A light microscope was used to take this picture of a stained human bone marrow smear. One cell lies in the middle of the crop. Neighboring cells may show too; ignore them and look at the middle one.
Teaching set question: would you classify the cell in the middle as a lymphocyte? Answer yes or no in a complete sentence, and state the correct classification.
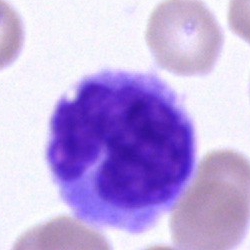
No, the identification should read a monocyte, not a lymphocyte, for the central cell.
